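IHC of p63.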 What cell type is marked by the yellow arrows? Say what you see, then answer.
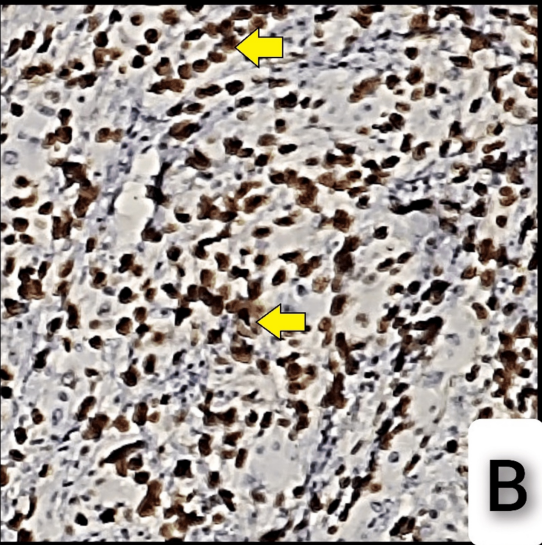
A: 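Many crowded atypical cells have brown-stained nuclei. Nuclei vary in size and shape. On this evidence: tumor cells.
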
